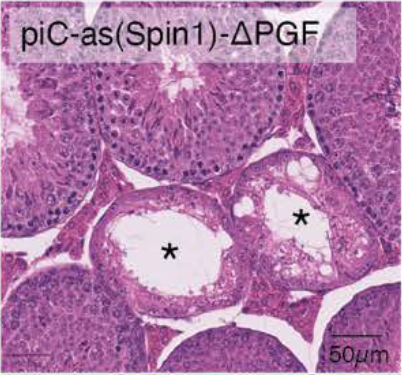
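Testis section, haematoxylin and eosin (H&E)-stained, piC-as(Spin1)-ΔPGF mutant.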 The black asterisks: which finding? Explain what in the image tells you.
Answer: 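The two marked tubules have a thin cell rim and a large empty lumen with vacuoles. Neighbouring tubules above are full of layered germ cells. On this evidence: Sertoli cell-only.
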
